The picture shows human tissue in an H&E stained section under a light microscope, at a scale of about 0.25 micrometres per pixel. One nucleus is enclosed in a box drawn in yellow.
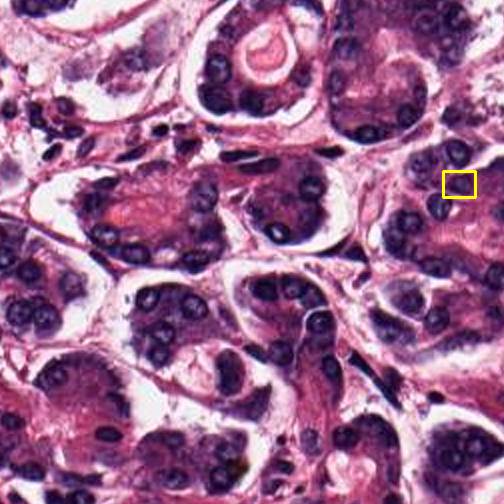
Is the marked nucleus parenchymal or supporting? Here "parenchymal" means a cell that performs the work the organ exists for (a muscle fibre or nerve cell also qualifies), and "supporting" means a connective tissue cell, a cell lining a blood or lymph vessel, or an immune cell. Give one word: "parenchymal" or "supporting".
parenchymal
